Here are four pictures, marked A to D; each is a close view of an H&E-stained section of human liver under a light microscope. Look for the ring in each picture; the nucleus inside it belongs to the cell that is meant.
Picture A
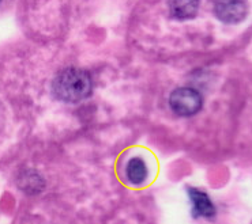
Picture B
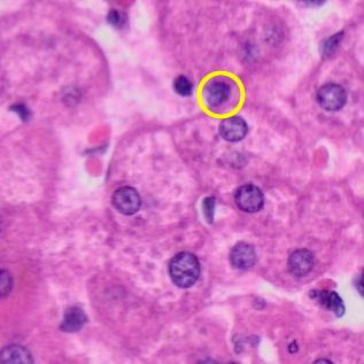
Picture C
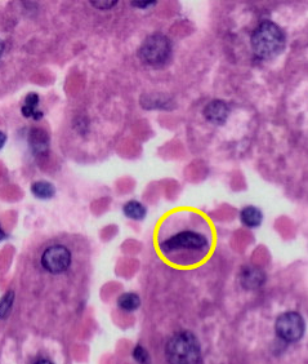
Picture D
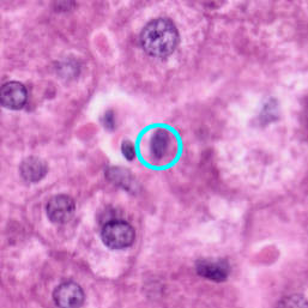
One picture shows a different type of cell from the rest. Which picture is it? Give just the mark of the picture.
A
